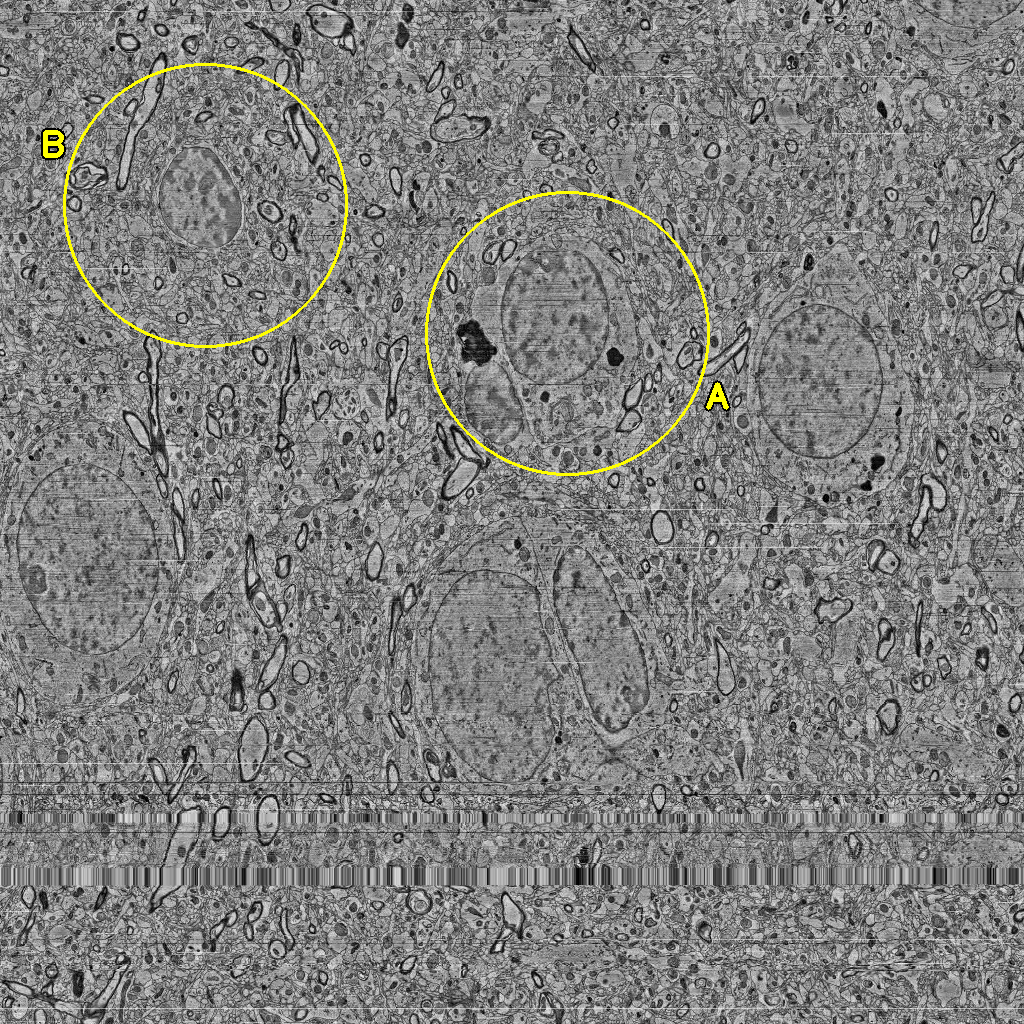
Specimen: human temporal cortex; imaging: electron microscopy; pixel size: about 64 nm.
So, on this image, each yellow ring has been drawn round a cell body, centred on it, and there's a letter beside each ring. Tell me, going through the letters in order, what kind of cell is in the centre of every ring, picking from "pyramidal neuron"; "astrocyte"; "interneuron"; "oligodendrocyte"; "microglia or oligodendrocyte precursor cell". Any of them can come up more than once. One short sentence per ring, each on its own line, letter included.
Ring A has been drawn round an interneuron.
Ring B has been drawn round a microglial cell or oligodendrocyte precursor cell.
